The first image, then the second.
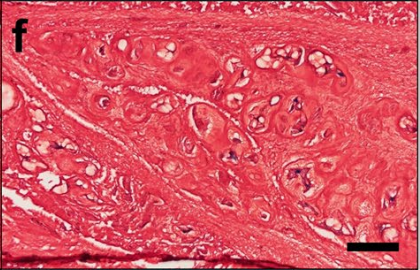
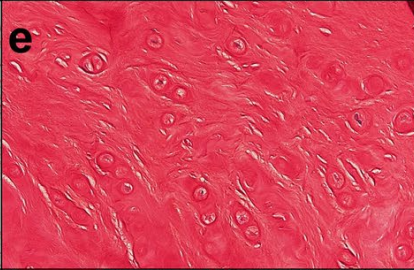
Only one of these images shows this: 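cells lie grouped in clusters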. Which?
The first image.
